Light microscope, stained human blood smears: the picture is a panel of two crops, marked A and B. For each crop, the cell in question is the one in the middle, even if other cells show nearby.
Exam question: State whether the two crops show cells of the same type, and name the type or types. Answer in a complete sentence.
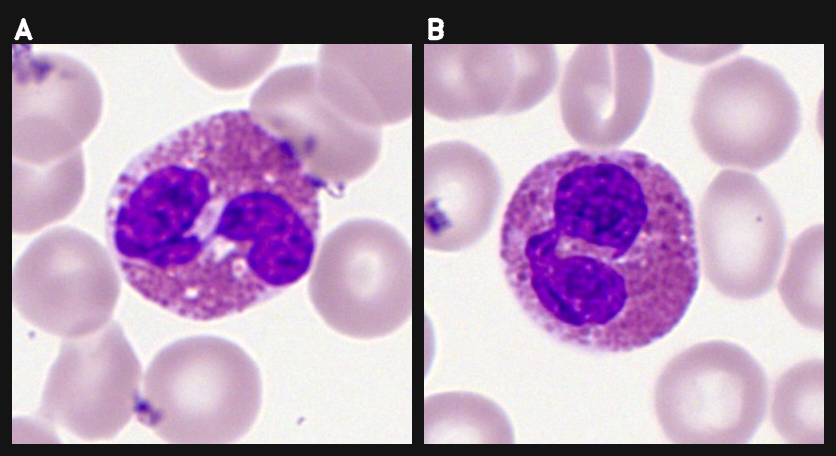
Yes, the two crops show eosinophils, one cell each.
